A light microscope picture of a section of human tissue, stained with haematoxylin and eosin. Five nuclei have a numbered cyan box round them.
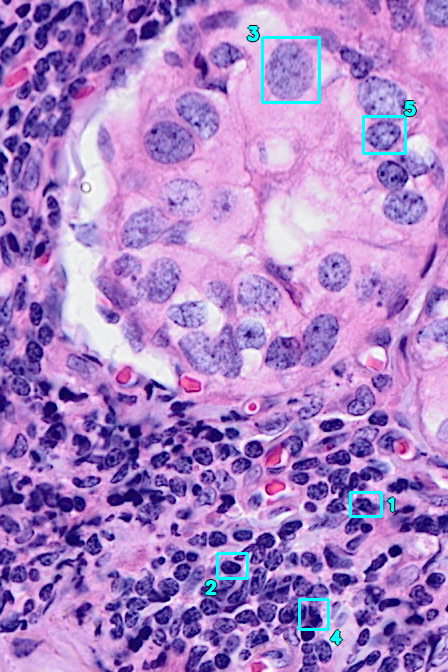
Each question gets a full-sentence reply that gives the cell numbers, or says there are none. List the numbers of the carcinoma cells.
The cells numbered 3 and 5 are of one kind: carcinoma cells.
